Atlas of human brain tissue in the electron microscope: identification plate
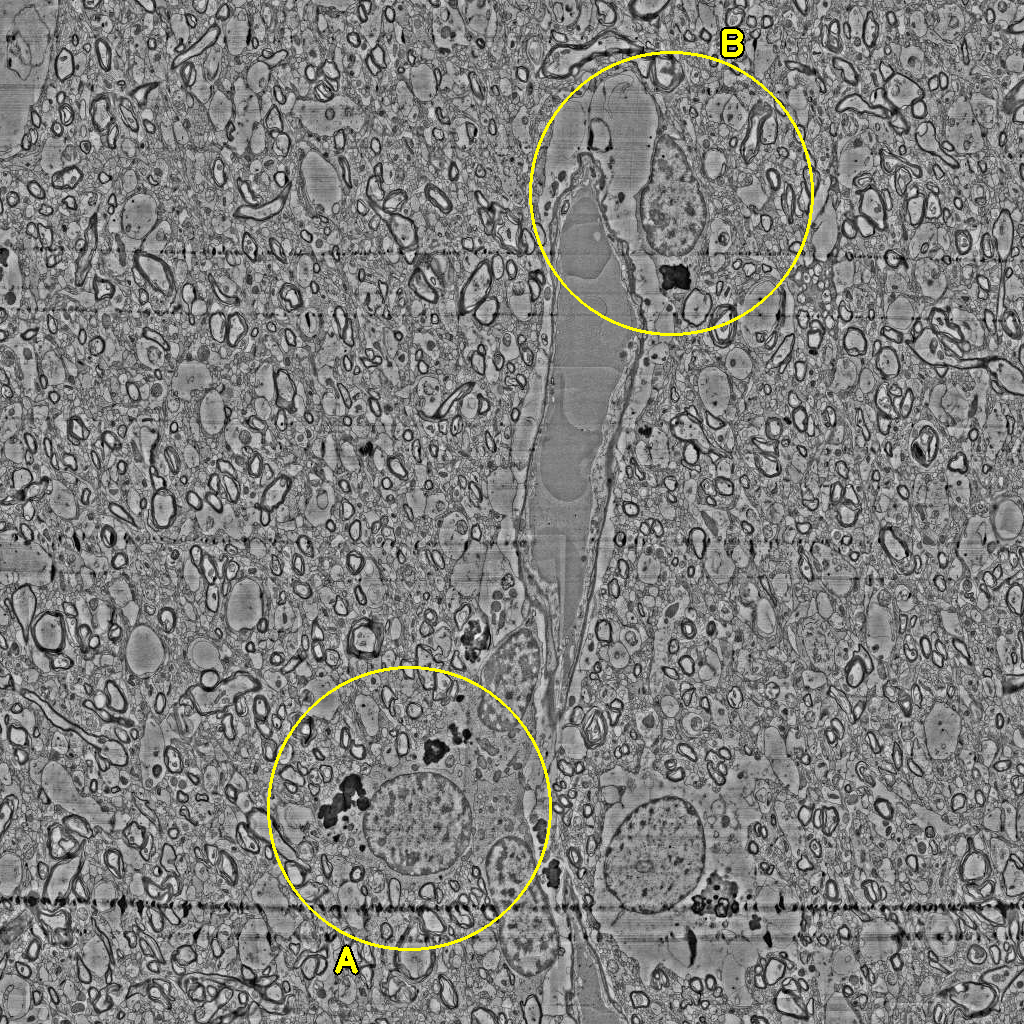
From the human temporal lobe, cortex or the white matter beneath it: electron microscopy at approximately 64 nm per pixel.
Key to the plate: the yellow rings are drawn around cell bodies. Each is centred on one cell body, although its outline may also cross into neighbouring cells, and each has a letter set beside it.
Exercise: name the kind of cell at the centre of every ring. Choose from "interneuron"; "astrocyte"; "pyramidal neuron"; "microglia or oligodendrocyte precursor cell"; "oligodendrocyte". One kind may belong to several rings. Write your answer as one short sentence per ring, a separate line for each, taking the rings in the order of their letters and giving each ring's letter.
The centre of ring A is occupied by an oligodendrocyte.
The centre of ring B is occupied by an oligodendrocyte.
